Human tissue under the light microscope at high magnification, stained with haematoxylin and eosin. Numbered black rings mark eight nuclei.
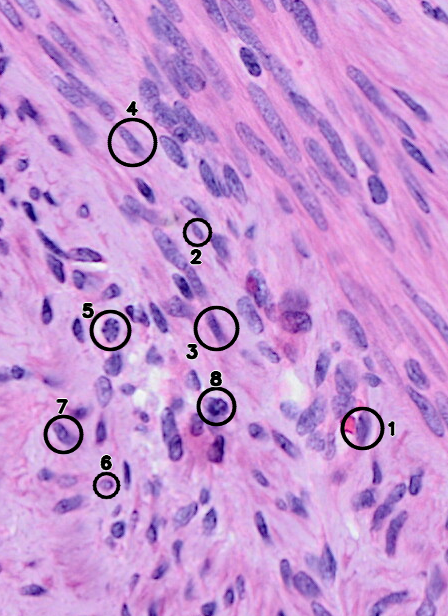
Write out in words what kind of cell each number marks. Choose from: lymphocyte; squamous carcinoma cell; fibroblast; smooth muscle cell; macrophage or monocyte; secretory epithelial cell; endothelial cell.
Cell 1 is an endothelial cell, cell 2 is a smooth muscle cell, cell 3 is a smooth muscle cell, cell 4 is a smooth muscle cell, cell 5 is a lymphocyte, cell 6 is a smooth muscle cell, cell 7 is a smooth muscle cell and cell 8 is a lymphocyte.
